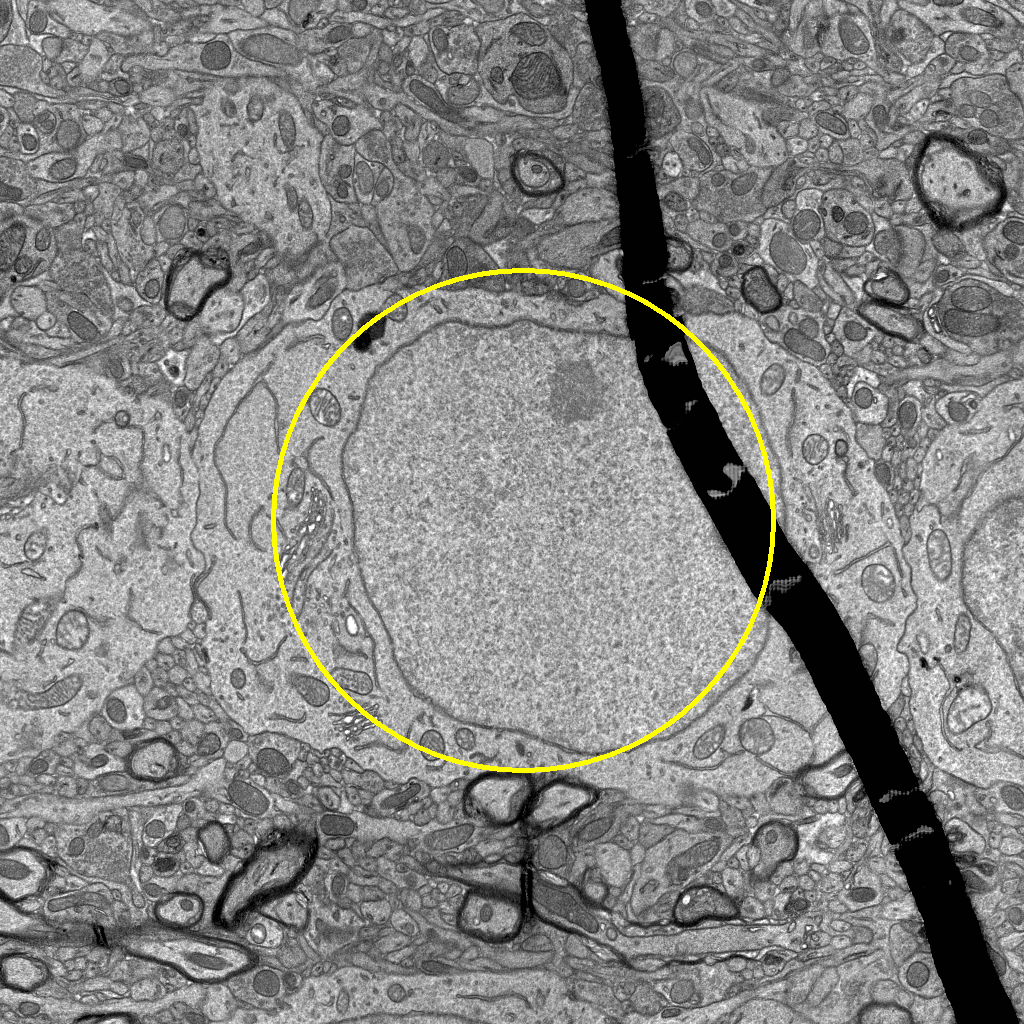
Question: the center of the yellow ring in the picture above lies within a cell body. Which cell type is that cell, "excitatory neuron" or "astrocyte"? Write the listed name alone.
excitatory neuron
